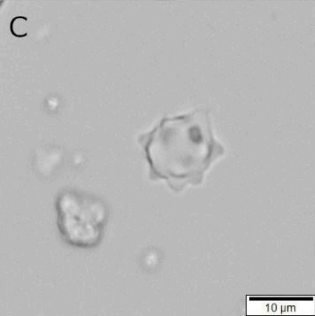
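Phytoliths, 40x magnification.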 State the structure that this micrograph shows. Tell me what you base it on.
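Globular echinate. Short pointed projections stand out around its outline.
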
